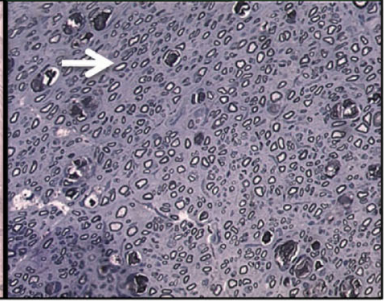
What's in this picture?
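This cross-section of peripheral nerve shows many small myelinated axons, seen as round profiles with pale centers and dark blue rims, scattered through a blue-stained background. Most fibers are small, and a few darker irregular clumps lie among them.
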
